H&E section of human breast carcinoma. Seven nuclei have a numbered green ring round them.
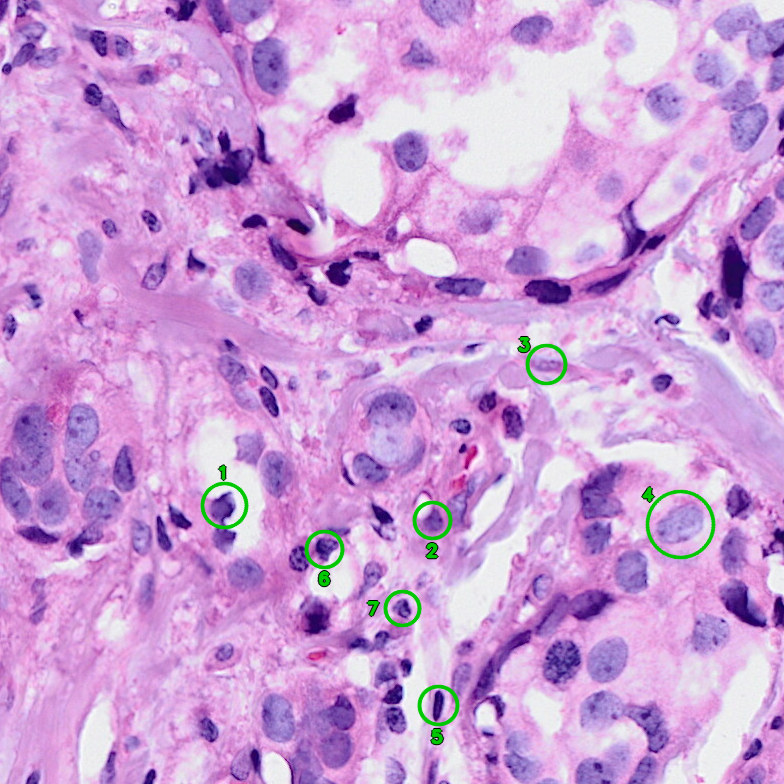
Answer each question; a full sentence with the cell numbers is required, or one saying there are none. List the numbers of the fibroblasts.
Only number 3 is a fibroblast; none of the others are.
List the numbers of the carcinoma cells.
The cells with the number labels 1 and 4 are carcinoma cells.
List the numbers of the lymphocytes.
The cells which carry the numbers 5, 6 and 7 are lymphocytes.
